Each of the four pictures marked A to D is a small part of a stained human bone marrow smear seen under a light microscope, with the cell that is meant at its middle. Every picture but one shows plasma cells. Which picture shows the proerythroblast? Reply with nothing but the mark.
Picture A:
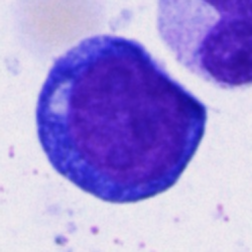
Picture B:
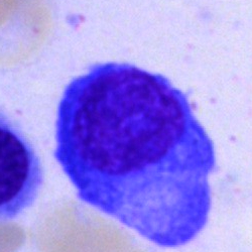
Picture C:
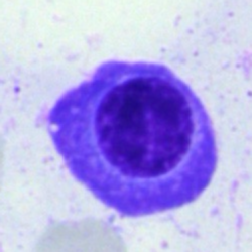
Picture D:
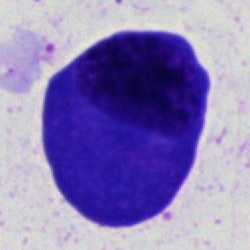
A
